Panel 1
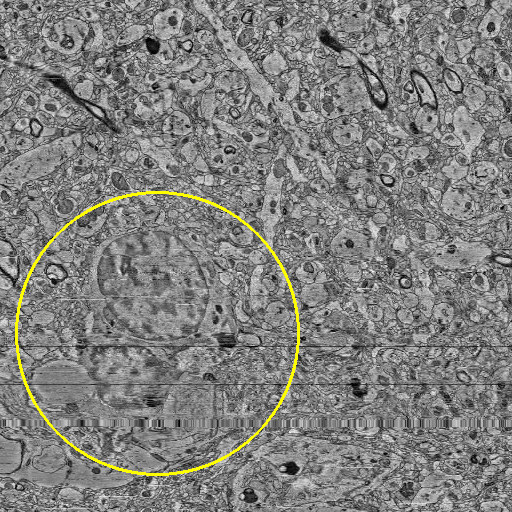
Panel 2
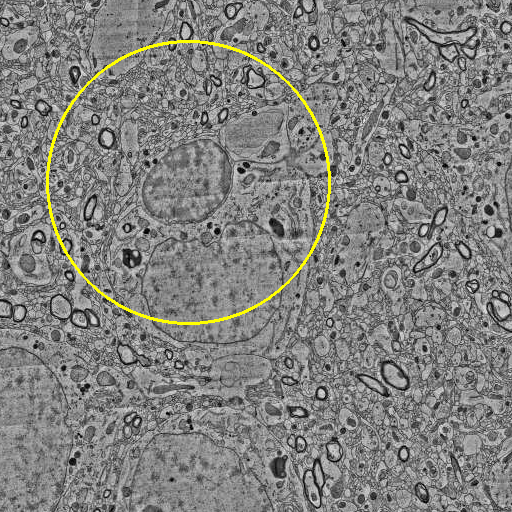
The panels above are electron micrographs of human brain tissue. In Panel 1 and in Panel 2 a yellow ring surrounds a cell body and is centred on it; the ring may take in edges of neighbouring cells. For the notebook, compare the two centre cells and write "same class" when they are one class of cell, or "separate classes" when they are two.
same class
